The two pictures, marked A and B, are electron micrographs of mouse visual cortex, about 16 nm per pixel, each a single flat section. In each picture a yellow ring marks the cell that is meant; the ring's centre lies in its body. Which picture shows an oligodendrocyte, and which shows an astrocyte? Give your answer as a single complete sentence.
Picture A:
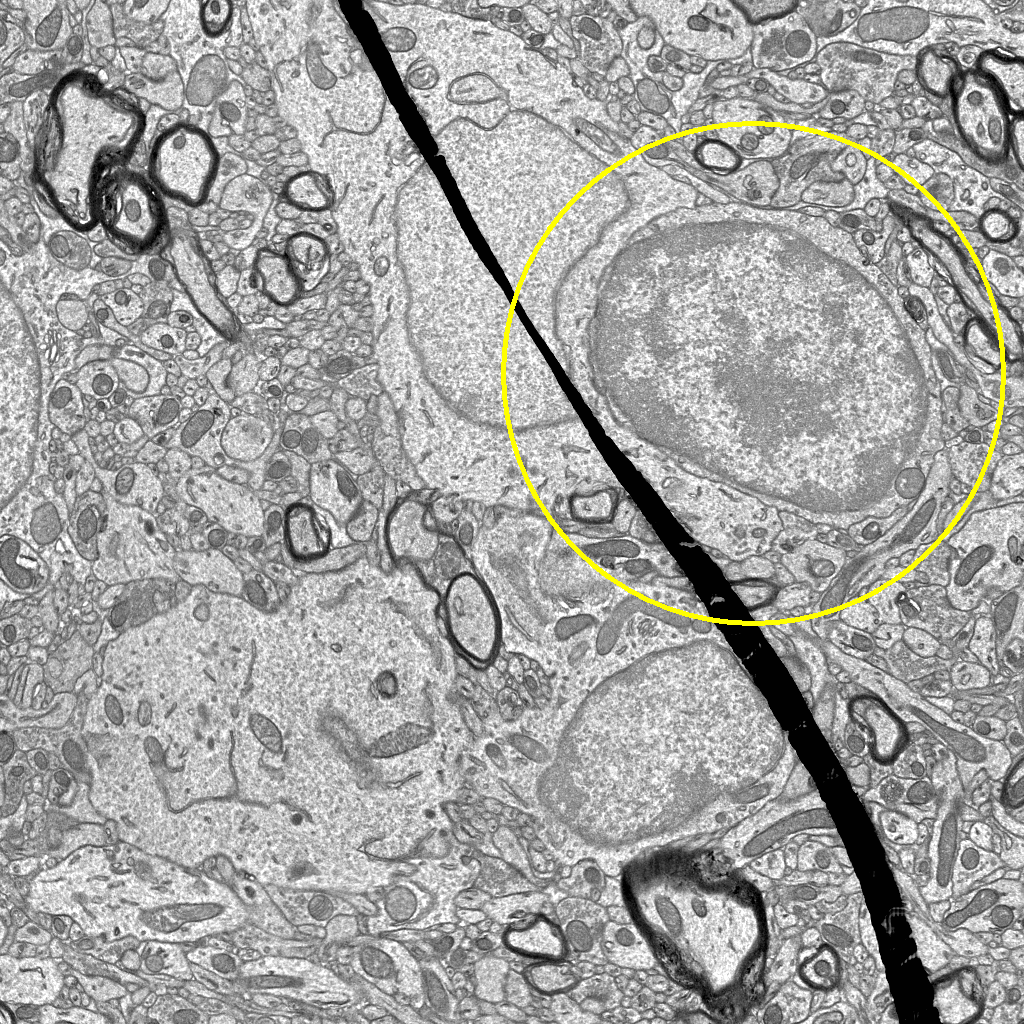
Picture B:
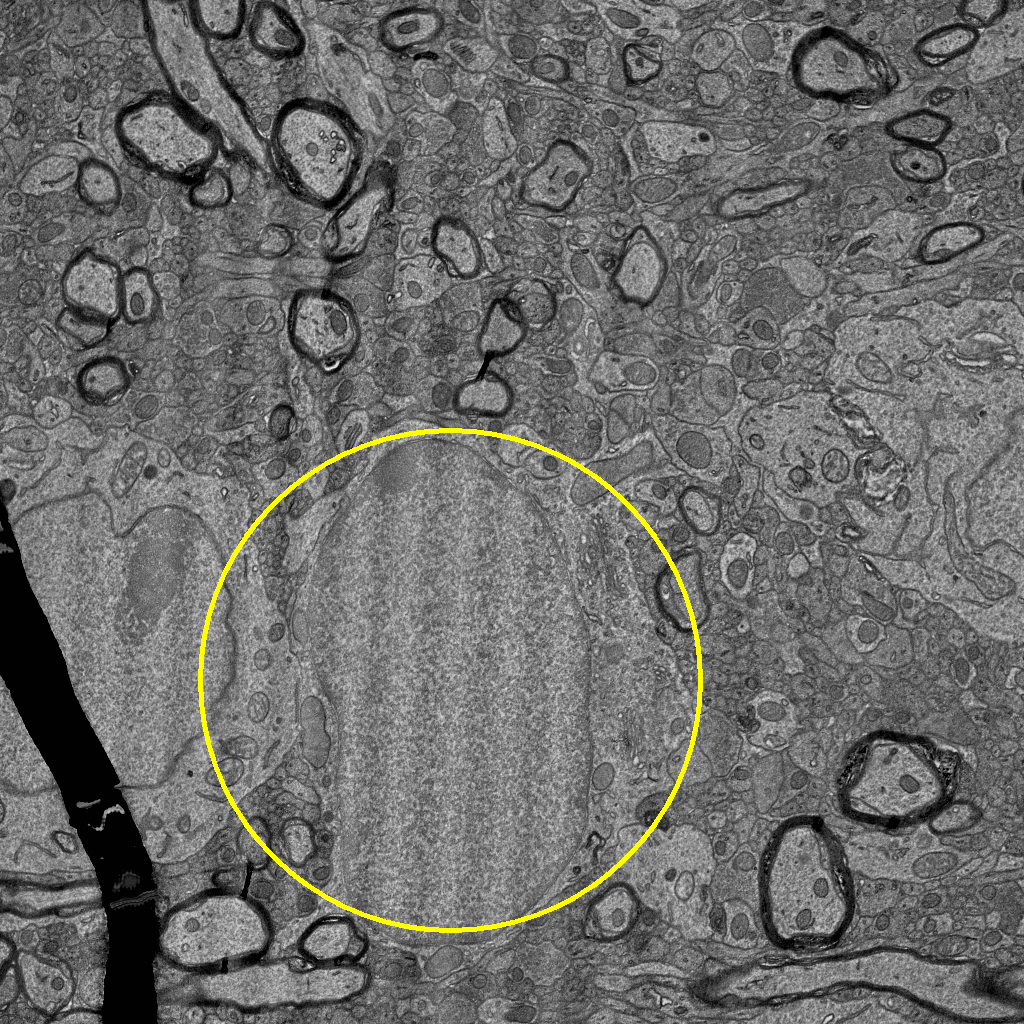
Picture A is of an oligodendrocyte, and picture B is of an astrocyte.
